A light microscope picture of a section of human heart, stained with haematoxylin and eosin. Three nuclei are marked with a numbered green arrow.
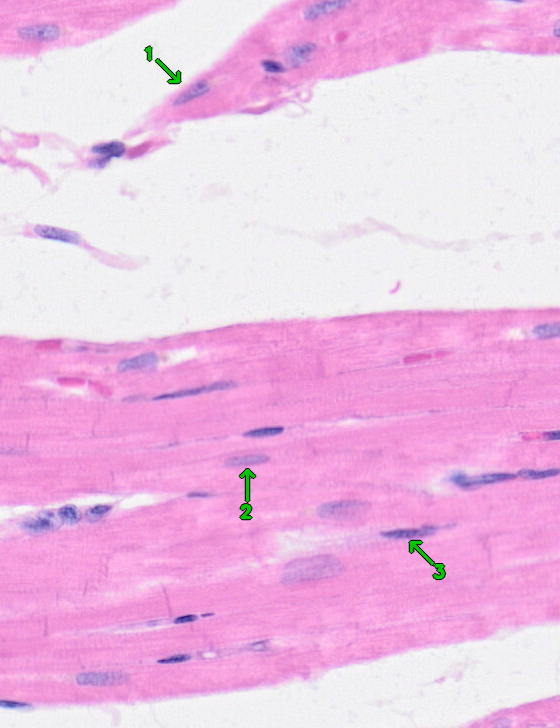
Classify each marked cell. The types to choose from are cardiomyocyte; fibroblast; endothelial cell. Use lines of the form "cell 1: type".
cell 1: cardiomyocyte
cell 2: cardiomyocyte
cell 3: endothelial cell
